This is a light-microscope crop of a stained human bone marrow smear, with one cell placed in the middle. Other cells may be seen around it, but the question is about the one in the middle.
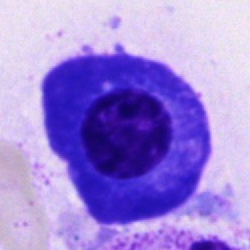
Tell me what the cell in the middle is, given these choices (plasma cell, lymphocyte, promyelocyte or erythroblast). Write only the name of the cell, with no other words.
plasma cell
